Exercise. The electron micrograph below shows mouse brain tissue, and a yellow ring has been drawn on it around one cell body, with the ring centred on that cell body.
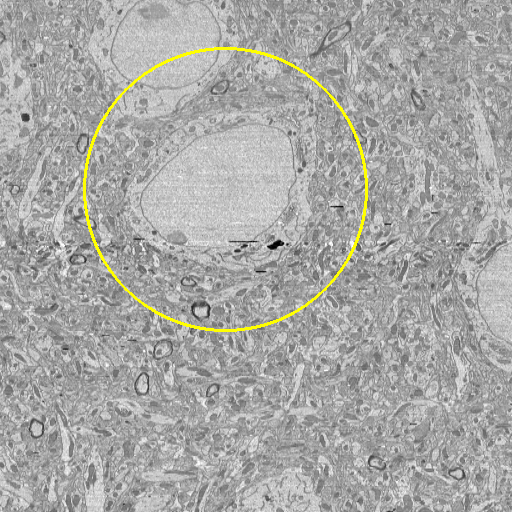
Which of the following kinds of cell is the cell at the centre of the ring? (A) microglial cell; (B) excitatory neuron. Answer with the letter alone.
B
